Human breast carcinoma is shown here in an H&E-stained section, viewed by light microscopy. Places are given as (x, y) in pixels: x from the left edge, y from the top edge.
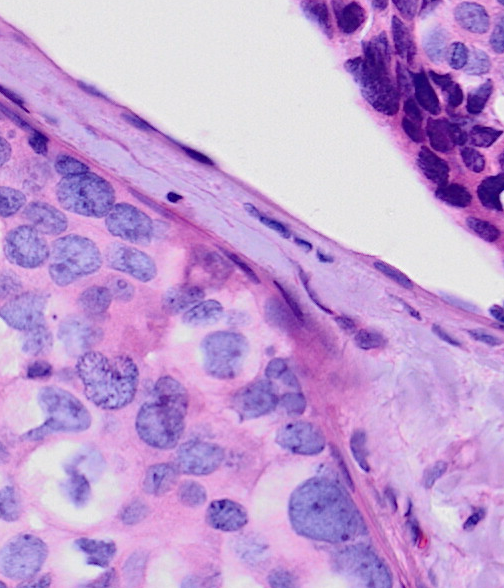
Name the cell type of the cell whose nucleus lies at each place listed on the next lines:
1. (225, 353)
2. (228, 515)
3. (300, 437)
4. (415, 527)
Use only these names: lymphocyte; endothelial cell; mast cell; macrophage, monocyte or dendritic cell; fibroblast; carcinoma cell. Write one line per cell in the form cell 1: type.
cell 1: carcinoma cell
cell 2: carcinoma cell
cell 3: carcinoma cell
cell 4: endothelial cell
